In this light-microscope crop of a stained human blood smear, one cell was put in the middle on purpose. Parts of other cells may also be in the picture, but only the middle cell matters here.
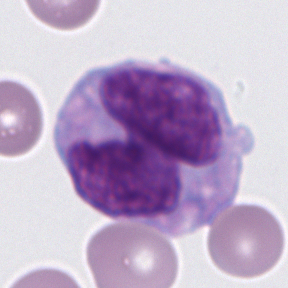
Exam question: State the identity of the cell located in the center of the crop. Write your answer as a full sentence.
The cell positioned in the middle of the field is an atypical promyelocyte.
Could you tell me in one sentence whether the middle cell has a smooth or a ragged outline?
The periphery of this cell is uneven, with ragged portions or projections.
